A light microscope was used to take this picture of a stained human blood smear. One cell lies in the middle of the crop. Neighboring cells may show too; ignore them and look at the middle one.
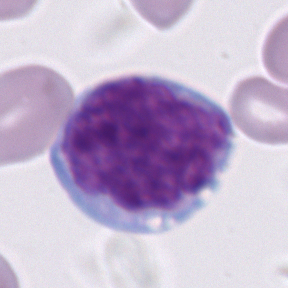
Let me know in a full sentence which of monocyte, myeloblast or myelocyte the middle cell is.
This crop is built around a myeloblast at its centre.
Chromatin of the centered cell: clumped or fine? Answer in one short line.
Heads up, the chromatin in this one is coarsely clumped.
